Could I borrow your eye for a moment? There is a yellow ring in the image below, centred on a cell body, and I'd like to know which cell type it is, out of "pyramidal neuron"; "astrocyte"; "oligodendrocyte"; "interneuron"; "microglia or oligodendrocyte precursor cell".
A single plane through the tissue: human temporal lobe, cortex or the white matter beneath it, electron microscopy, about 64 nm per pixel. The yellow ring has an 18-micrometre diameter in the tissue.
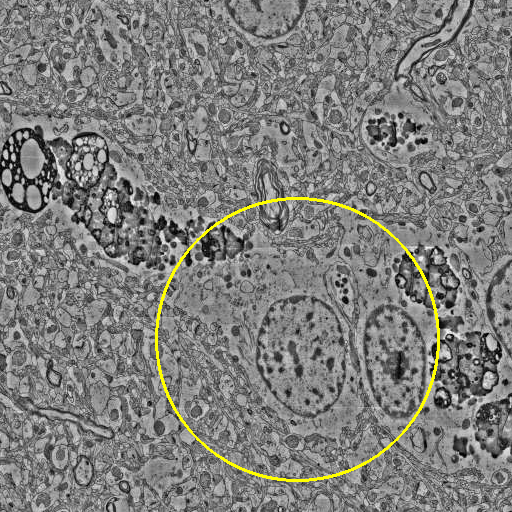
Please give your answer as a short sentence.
The cell body at the centre is that of an astrocyte.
